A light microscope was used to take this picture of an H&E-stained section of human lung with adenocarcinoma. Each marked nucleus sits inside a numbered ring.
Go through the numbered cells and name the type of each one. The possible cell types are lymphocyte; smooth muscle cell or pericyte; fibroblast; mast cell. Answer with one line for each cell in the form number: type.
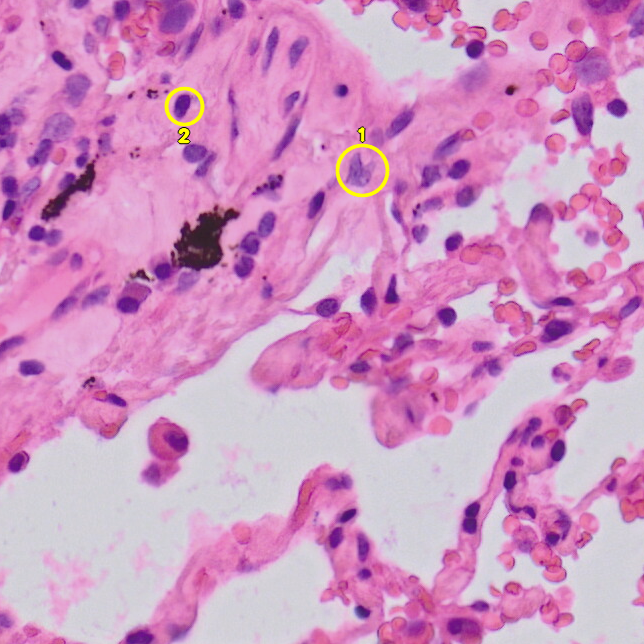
1: fibroblast
2: lymphocyte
